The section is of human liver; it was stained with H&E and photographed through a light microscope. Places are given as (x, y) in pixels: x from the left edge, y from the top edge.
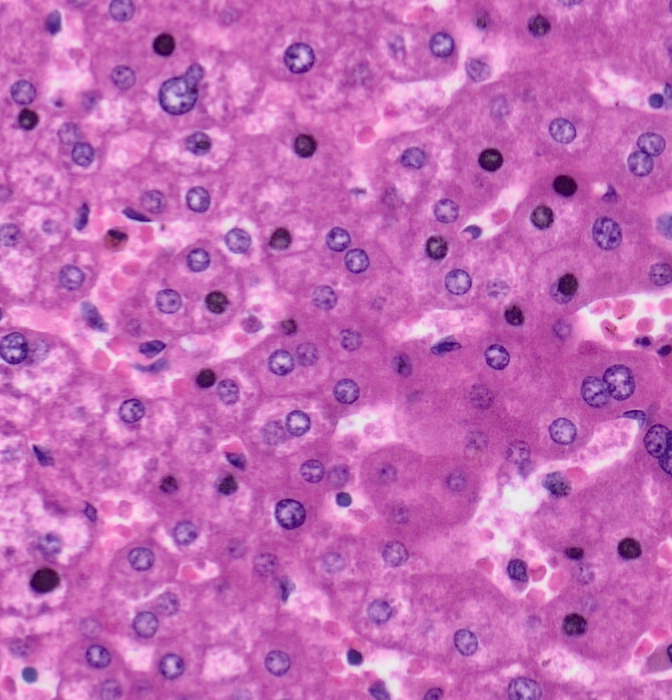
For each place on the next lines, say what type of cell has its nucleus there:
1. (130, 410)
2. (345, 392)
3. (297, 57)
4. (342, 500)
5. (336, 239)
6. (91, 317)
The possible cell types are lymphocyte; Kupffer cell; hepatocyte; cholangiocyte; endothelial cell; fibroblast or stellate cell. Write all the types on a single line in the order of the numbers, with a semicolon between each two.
hepatocyte; hepatocyte; hepatocyte; lymphocyte; hepatocyte; endothelial cell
